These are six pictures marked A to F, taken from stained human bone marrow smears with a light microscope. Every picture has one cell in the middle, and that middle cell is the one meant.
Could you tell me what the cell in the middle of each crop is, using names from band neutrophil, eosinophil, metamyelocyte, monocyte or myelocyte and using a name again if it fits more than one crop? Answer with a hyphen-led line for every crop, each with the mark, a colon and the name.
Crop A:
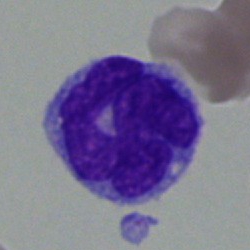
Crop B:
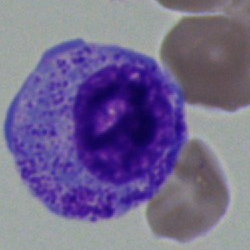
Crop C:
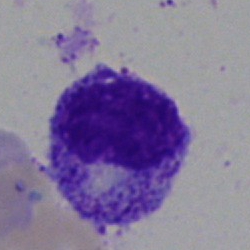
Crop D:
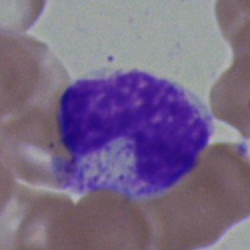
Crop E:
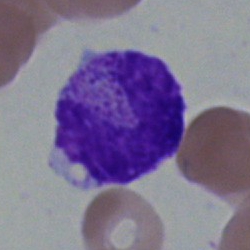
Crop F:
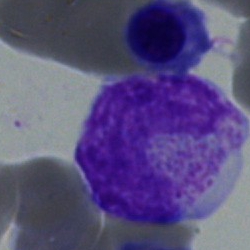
- A: monocyte
- B: myelocyte
- C: myelocyte
- D: metamyelocyte
- E: metamyelocyte
- F: band neutrophil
